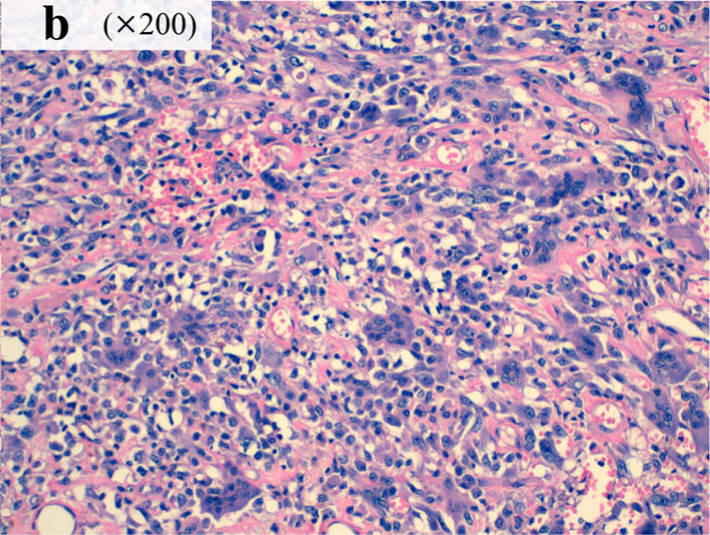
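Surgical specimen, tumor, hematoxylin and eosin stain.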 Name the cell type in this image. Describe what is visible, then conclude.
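Scattered large cells contain clusters of many dark purple nuclei. These large cells have abundant pink-purple cytoplasm. They lie among much smaller cells with single nuclei. The answer: multinucleated giant cells.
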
